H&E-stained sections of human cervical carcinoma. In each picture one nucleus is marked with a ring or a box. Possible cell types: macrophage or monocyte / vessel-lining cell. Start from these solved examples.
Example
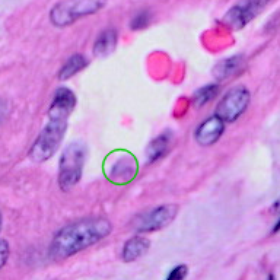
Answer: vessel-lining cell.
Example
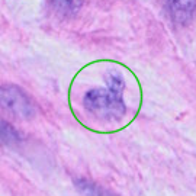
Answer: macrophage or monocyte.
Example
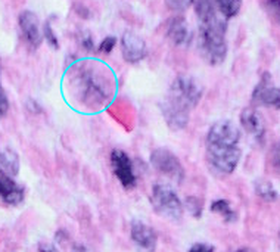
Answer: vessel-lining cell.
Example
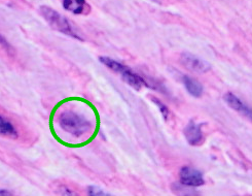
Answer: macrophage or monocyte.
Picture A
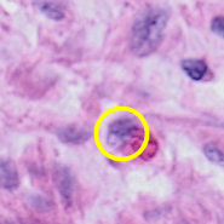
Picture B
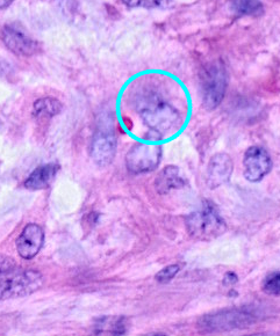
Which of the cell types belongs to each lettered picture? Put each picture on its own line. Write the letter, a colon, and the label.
A: vessel-lining cell.
B: vessel-lining cell.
